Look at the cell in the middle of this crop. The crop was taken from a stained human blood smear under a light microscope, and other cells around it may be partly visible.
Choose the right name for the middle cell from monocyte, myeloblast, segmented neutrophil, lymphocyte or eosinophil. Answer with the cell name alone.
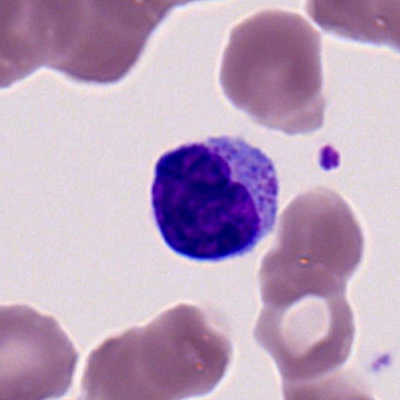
lymphocyte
